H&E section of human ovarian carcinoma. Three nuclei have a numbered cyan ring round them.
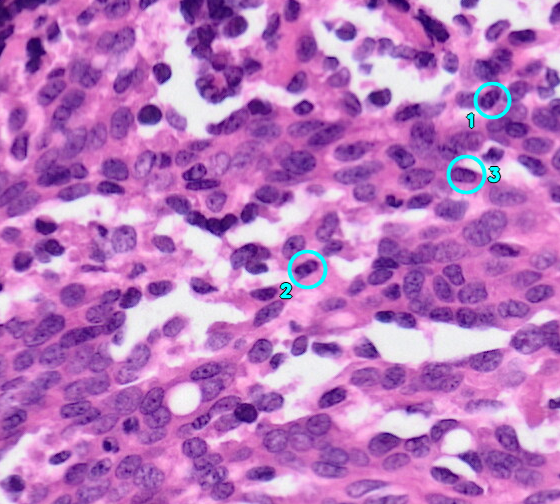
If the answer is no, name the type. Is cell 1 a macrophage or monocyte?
No, it is a carcinoma cell.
